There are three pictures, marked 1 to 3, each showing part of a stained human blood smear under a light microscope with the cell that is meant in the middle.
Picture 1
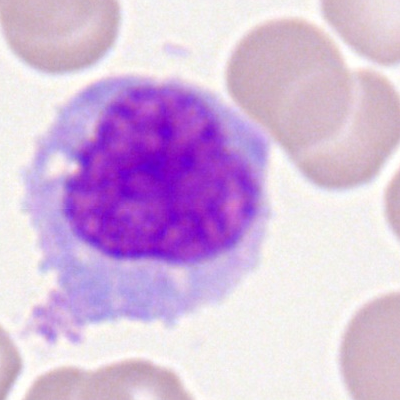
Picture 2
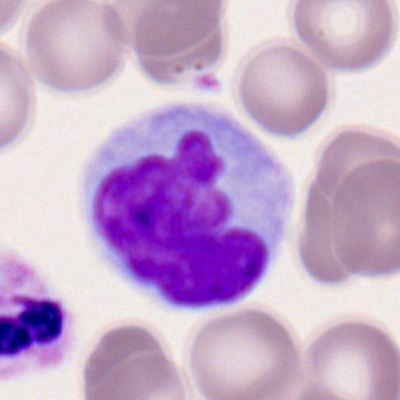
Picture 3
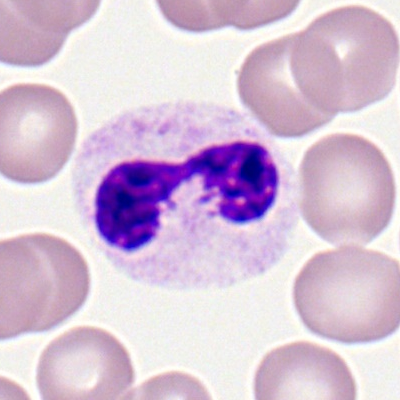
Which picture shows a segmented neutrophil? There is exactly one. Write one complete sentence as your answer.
Picture 3 is the one that shows the segmented neutrophil.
